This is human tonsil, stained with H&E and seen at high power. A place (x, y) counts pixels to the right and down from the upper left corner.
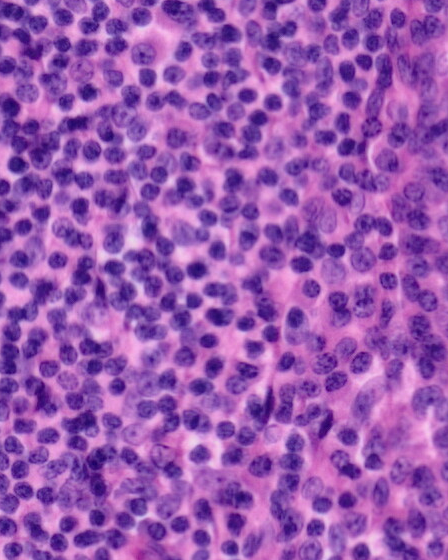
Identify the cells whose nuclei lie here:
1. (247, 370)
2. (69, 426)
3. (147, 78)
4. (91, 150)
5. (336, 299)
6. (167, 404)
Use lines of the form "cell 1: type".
cell 1: plasma cell
cell 2: small lymphocyte
cell 3: small lymphocyte
cell 4: small lymphocyte
cell 5: plasma cell
cell 6: small lymphocyte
